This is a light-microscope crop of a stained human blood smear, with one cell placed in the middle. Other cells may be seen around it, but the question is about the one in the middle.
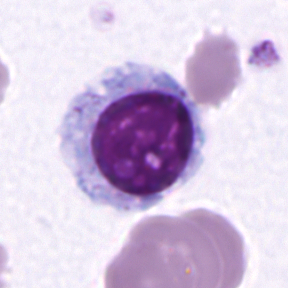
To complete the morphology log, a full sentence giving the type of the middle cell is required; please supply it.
Classified as a plasma cell is the cell in the middle of this crop.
